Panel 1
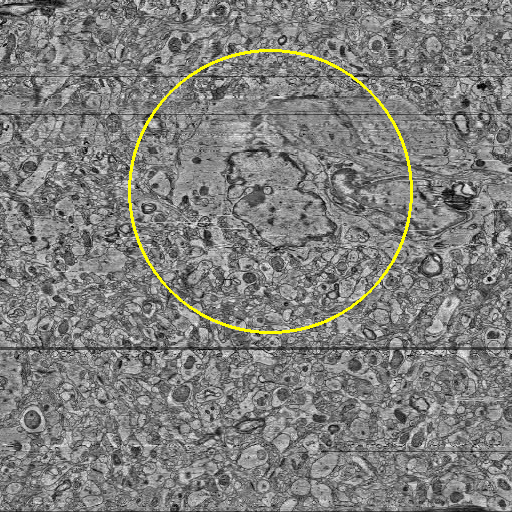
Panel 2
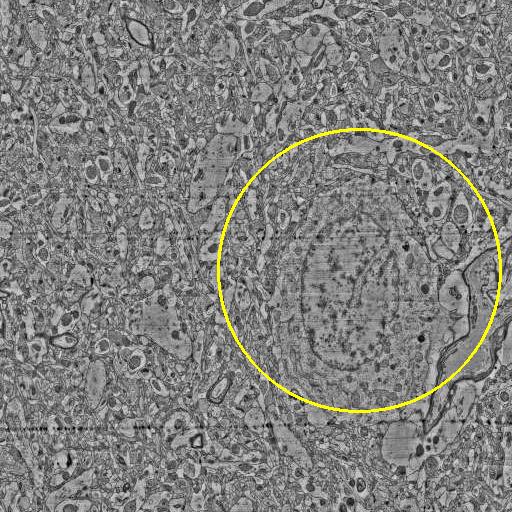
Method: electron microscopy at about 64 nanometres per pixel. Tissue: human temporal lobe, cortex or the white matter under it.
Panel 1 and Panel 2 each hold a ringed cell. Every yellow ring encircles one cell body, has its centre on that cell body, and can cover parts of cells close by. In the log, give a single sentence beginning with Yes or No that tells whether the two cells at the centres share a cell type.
No, in Panel 1 and Panel 2 the centred cells are of two cell types.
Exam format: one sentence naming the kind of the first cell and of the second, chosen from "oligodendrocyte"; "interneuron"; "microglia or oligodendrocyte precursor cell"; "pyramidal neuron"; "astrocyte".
The first picture's cell is a microglial cell or oligodendrocyte precursor cell, and the second picture's cell is an interneuron.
